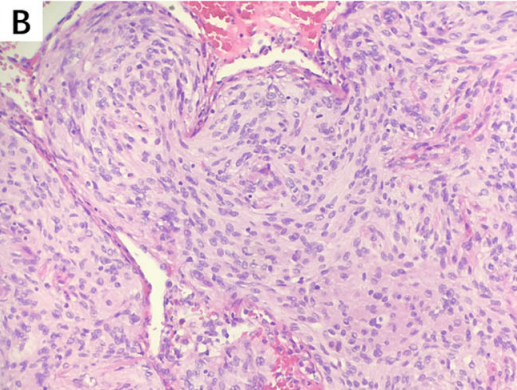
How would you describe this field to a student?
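Bland spindle-shaped cells with oval to elongated, evenly stained nuclei and pale pink cytoplasm sit in a sheet where the borders between cells cannot be made out. They curl concentrically into rounded whorls and nests, separated by thin-walled vascular spaces filled with red blood cells. This whorled, syncytial pattern of spindle cells fits a meningioma.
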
